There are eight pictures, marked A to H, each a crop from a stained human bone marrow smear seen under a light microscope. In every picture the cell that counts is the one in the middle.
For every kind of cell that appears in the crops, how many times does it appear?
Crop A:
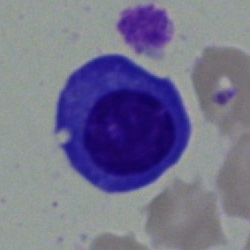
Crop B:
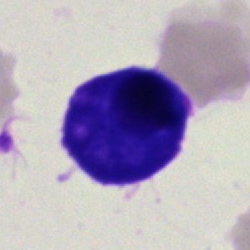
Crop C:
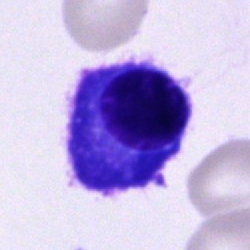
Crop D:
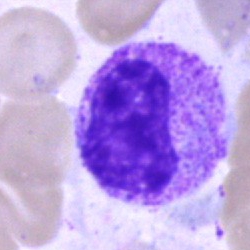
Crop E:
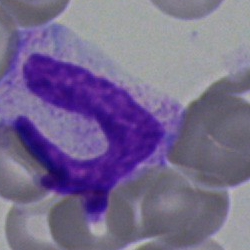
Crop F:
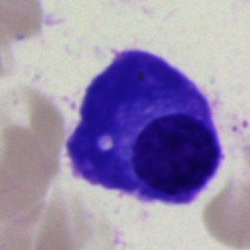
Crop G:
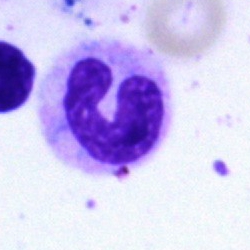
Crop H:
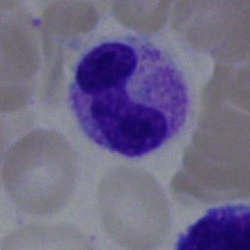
plasma cell: 4
band neutrophil: 3
metamyelocyte: 1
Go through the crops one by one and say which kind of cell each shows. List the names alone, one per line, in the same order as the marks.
plasma cell
plasma cell
plasma cell
metamyelocyte
band neutrophil
plasma cell
band neutrophil
band neutrophil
